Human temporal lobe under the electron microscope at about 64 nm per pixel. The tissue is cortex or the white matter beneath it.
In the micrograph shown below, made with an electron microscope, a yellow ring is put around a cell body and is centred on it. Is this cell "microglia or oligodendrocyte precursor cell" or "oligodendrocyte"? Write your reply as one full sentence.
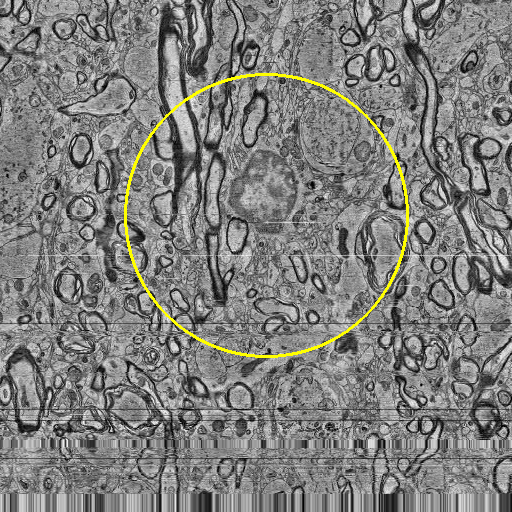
In the micrograph, an oligodendrocyte is the cell at the centre of the yellow ring.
